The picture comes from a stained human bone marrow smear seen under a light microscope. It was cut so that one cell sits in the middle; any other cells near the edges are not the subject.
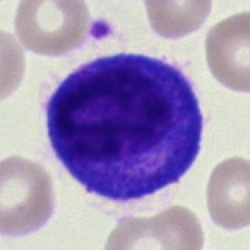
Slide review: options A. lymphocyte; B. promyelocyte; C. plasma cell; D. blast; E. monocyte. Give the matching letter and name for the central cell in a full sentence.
Option B is the correct option, with the middle cell being a promyelocyte.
